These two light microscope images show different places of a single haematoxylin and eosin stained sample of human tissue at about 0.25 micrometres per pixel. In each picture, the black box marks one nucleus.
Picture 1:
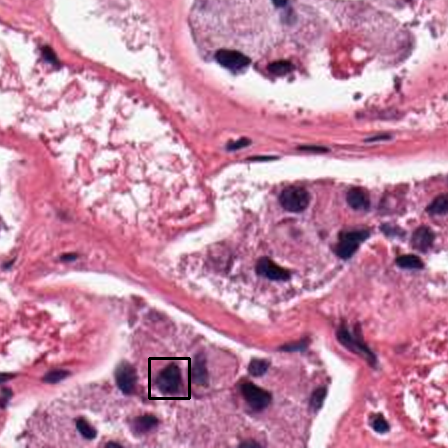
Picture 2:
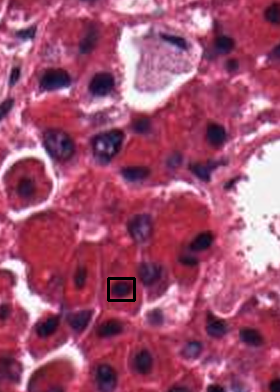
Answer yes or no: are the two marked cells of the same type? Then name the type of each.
Yes, both are anterior pituitary cells.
